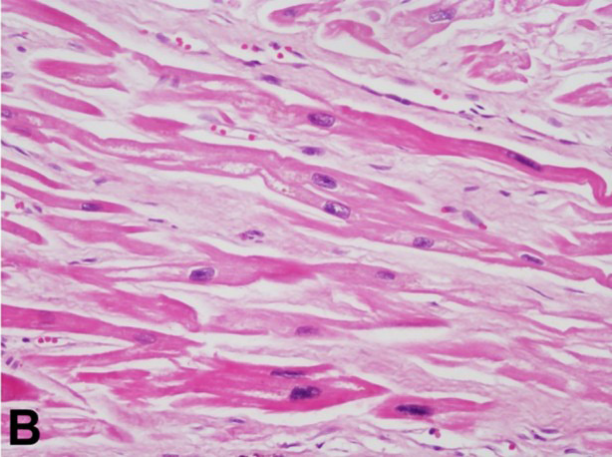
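Myocardium with enlarged myocytes running in long, deep pink fibres that contain large, rectangular, blunt-ended boxcar-like nuclei. The fibres are pulled apart by pale pink, loose fibrous tissue in the interstitium. Small capillaries with red blood cells lie between the fibres, and scattered small dark nuclei of interstitial cells are seen.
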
